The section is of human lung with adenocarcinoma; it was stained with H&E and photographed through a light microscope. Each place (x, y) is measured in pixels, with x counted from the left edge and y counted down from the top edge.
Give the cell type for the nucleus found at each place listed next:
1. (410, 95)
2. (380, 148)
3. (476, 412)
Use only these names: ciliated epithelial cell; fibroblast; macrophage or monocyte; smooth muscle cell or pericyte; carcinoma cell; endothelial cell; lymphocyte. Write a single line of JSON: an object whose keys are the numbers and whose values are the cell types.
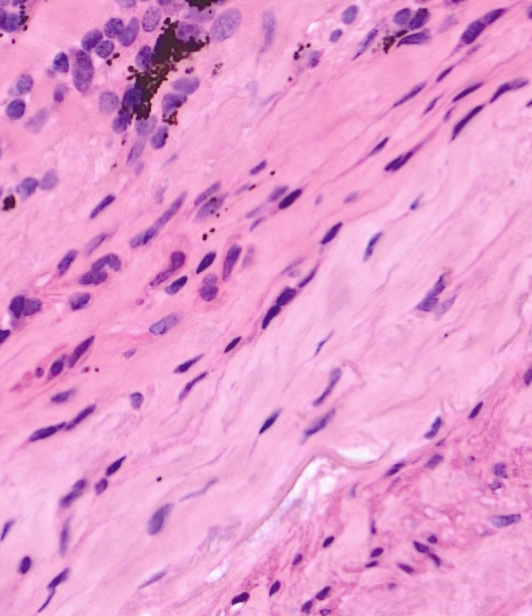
{"1": "fibroblast", "2": "fibroblast", "3": "smooth muscle cell or pericyte"}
